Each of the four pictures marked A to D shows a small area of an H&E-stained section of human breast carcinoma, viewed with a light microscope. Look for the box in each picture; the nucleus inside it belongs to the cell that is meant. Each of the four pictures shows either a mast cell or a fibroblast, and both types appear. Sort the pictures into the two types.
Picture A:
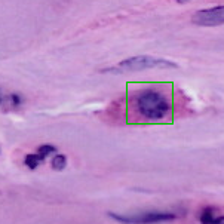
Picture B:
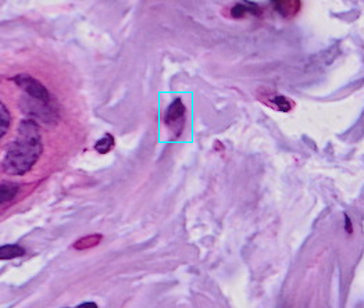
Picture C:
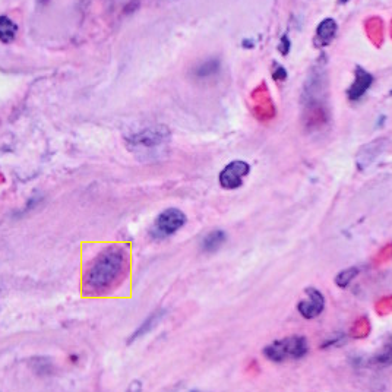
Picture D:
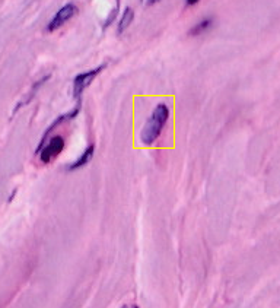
A: mast cell
B: fibroblast
C: mast cell
D: fibroblast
